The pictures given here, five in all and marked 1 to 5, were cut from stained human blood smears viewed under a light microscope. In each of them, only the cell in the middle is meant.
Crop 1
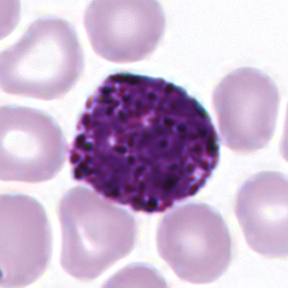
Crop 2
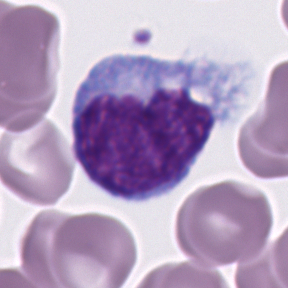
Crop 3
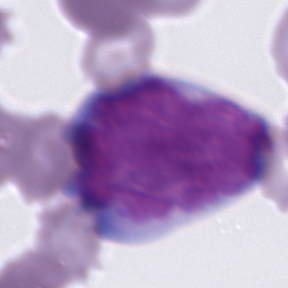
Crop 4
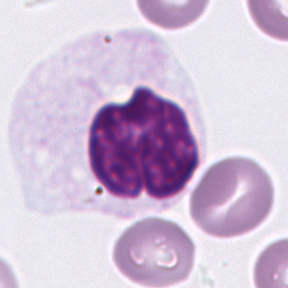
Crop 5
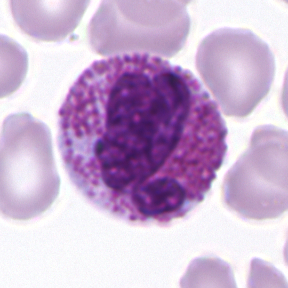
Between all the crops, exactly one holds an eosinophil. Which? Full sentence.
Crop 5 is where an eosinophil is to be found.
